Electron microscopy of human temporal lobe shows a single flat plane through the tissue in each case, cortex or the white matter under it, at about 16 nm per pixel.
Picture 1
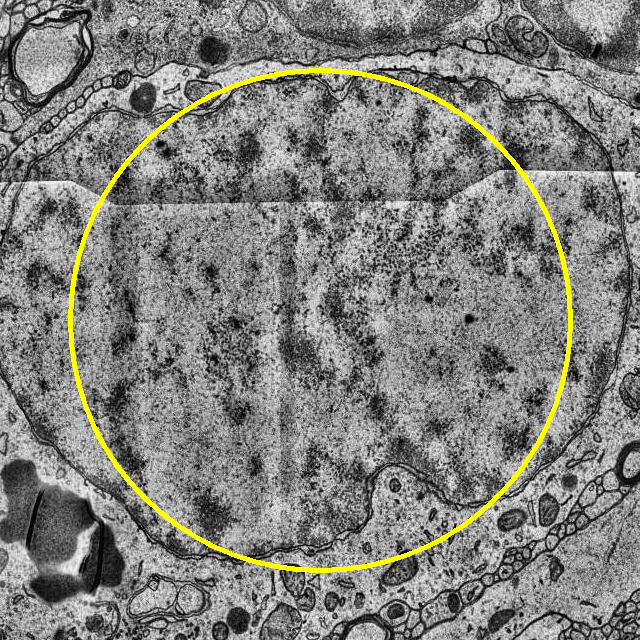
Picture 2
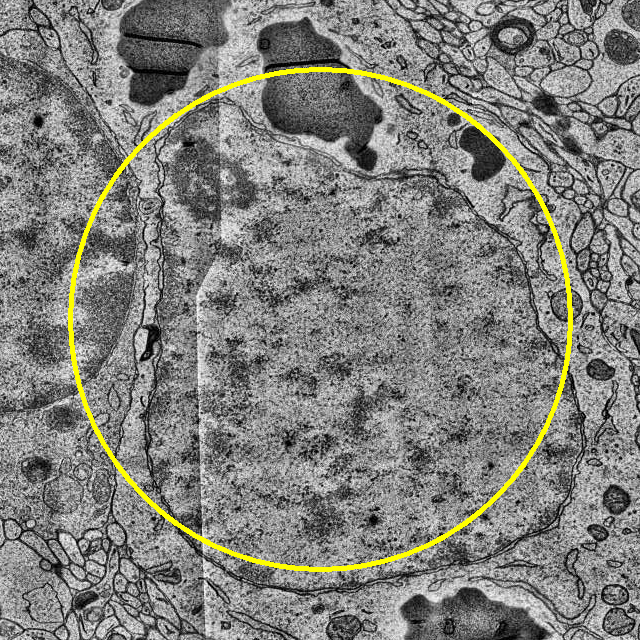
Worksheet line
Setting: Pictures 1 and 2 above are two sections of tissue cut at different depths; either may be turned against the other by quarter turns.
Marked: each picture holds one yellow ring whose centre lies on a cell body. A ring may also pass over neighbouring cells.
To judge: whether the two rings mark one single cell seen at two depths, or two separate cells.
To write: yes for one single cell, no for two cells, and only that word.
yes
